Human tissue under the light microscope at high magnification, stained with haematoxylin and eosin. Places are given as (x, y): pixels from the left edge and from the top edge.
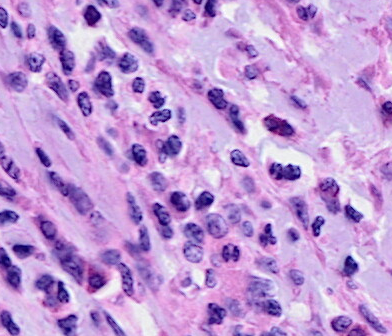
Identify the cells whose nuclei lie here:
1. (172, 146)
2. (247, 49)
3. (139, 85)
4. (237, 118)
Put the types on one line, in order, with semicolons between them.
lymphocyte; fibroblast; lymphocyte; lymphocyte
